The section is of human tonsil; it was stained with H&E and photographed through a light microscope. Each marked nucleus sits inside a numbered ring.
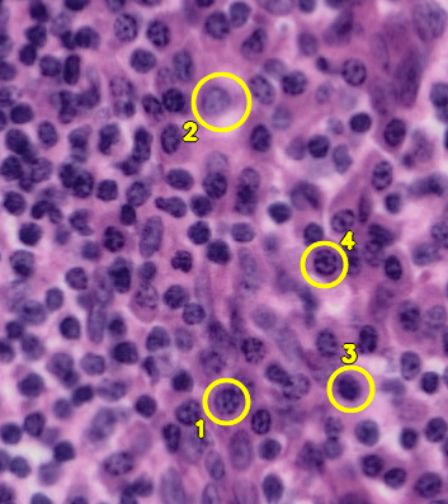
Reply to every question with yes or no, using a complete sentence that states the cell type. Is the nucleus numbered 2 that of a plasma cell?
No, as for cell 2, it is an endothelial cell and not a plasma cell.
